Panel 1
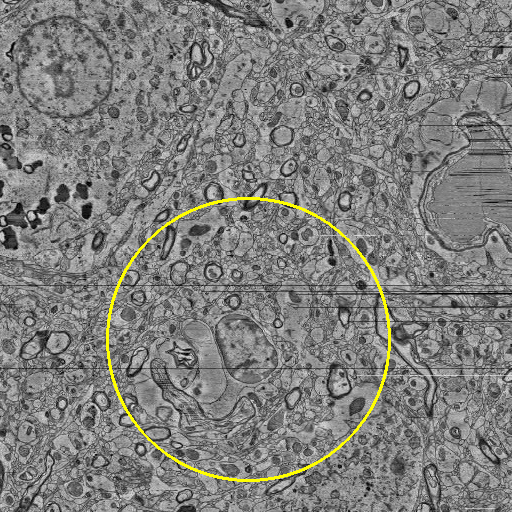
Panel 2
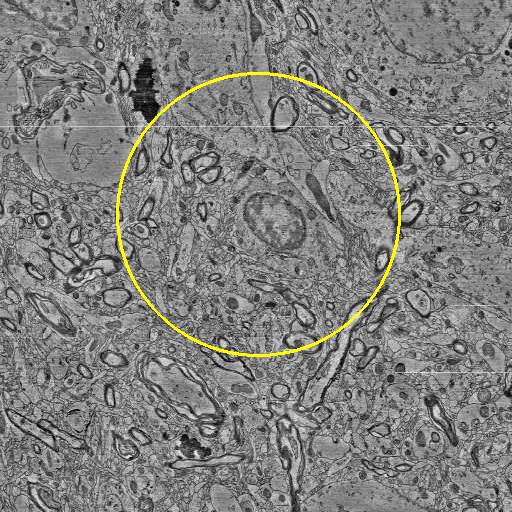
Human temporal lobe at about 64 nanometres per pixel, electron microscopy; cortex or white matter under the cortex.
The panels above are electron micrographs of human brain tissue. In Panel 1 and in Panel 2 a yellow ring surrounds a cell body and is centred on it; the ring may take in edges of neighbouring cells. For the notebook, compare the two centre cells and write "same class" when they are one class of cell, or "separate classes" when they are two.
separate classes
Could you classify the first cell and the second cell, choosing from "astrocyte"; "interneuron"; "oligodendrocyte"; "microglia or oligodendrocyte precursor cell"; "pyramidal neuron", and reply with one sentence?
The second cell is an oligodendrocyte, while the first is a microglial cell or oligodendrocyte precursor cell.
